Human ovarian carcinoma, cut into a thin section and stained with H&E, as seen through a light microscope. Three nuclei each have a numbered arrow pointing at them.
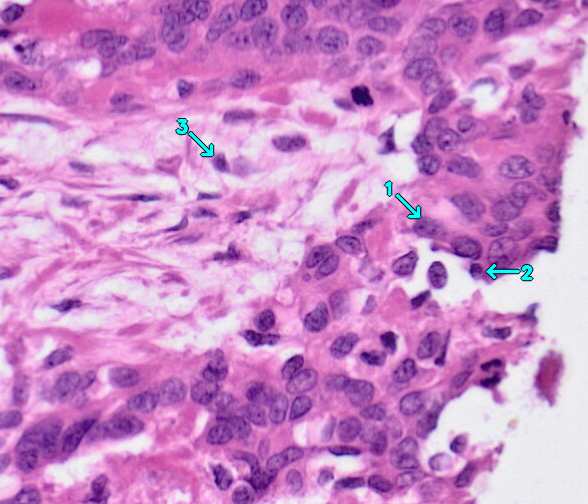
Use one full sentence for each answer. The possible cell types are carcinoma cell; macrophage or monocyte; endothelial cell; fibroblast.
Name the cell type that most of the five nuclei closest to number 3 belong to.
The majority of the five nuclei closest to number 3 belong to fibroblasts.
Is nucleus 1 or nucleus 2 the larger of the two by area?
Nucleus 1 is larger, with an area about 2.5 times that of nucleus 2.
